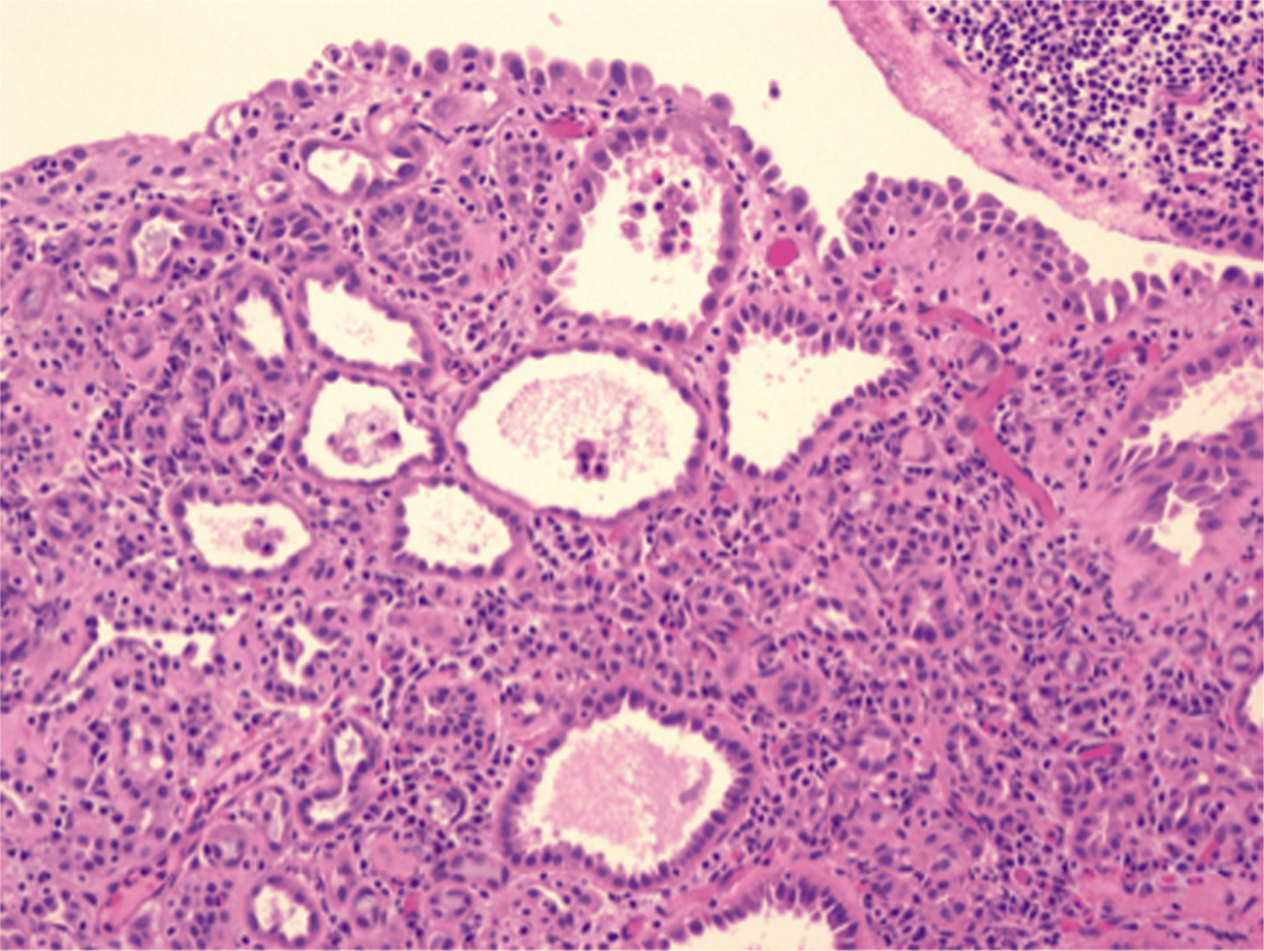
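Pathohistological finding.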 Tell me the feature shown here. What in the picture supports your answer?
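Tubular structures. Many small round to angular tubules with open lumens lie packed in the stroma. Some tubules are dilated into cyst-like spaces with pale pink contents.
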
